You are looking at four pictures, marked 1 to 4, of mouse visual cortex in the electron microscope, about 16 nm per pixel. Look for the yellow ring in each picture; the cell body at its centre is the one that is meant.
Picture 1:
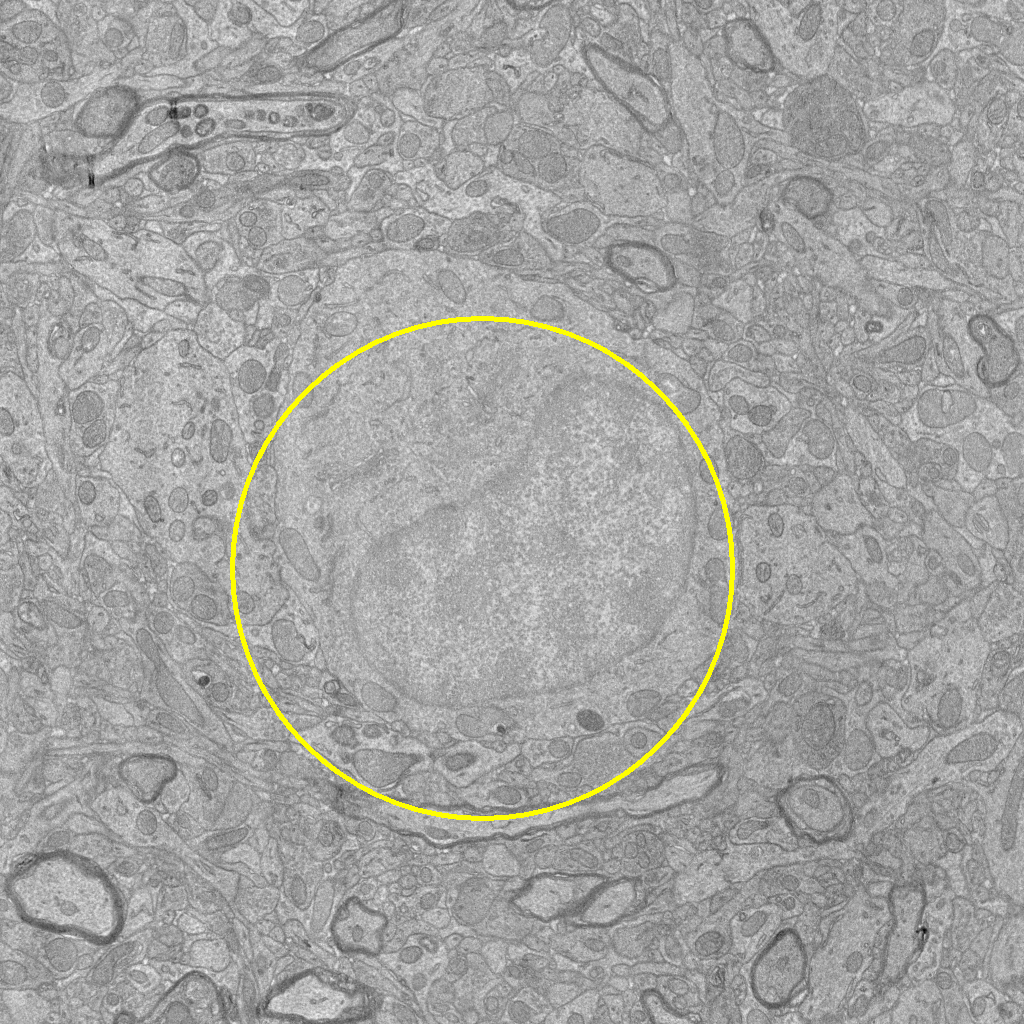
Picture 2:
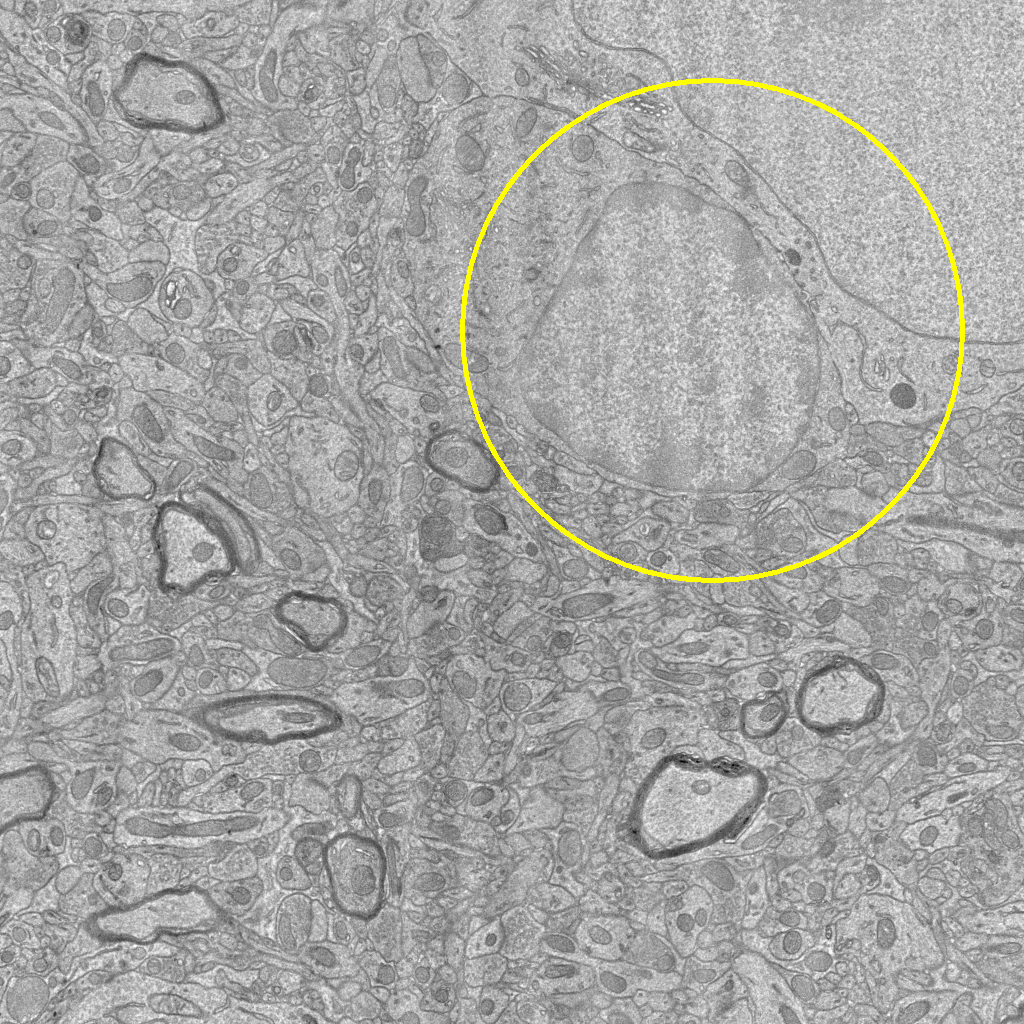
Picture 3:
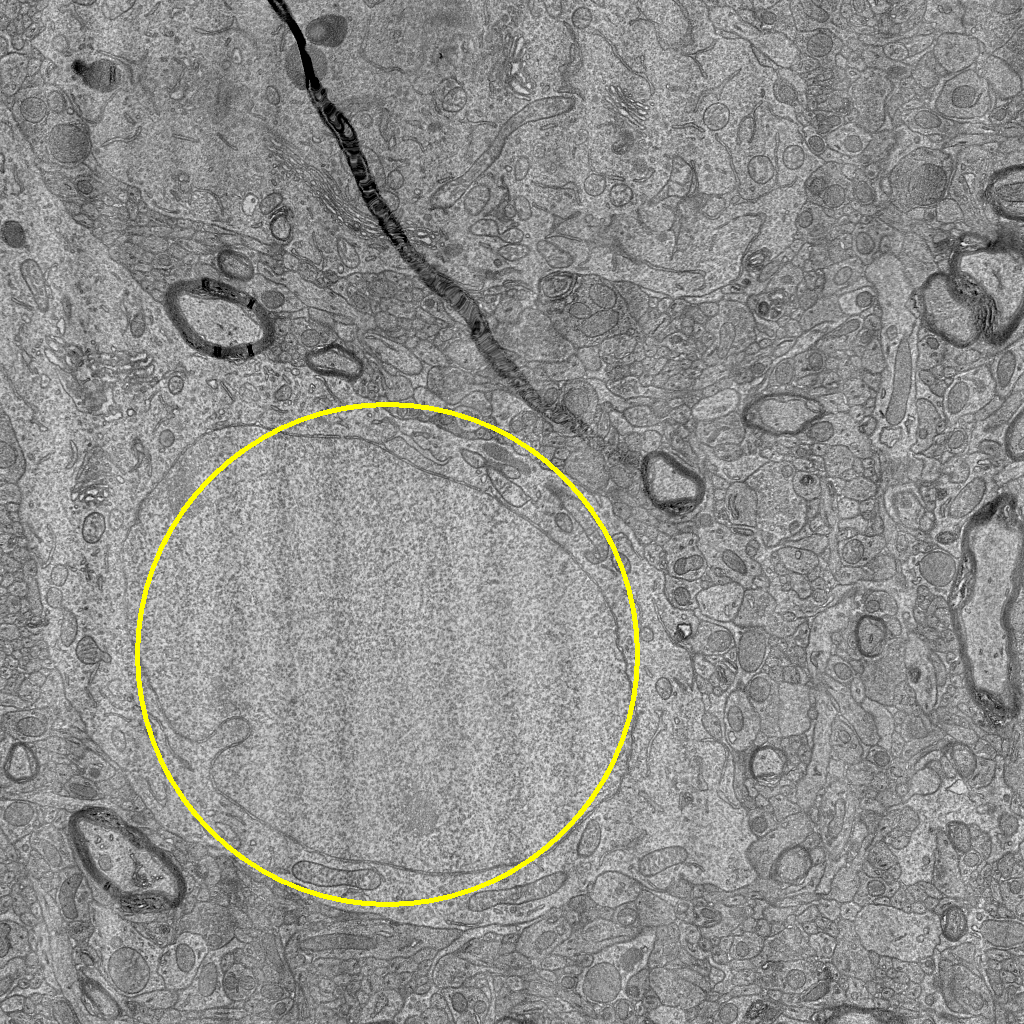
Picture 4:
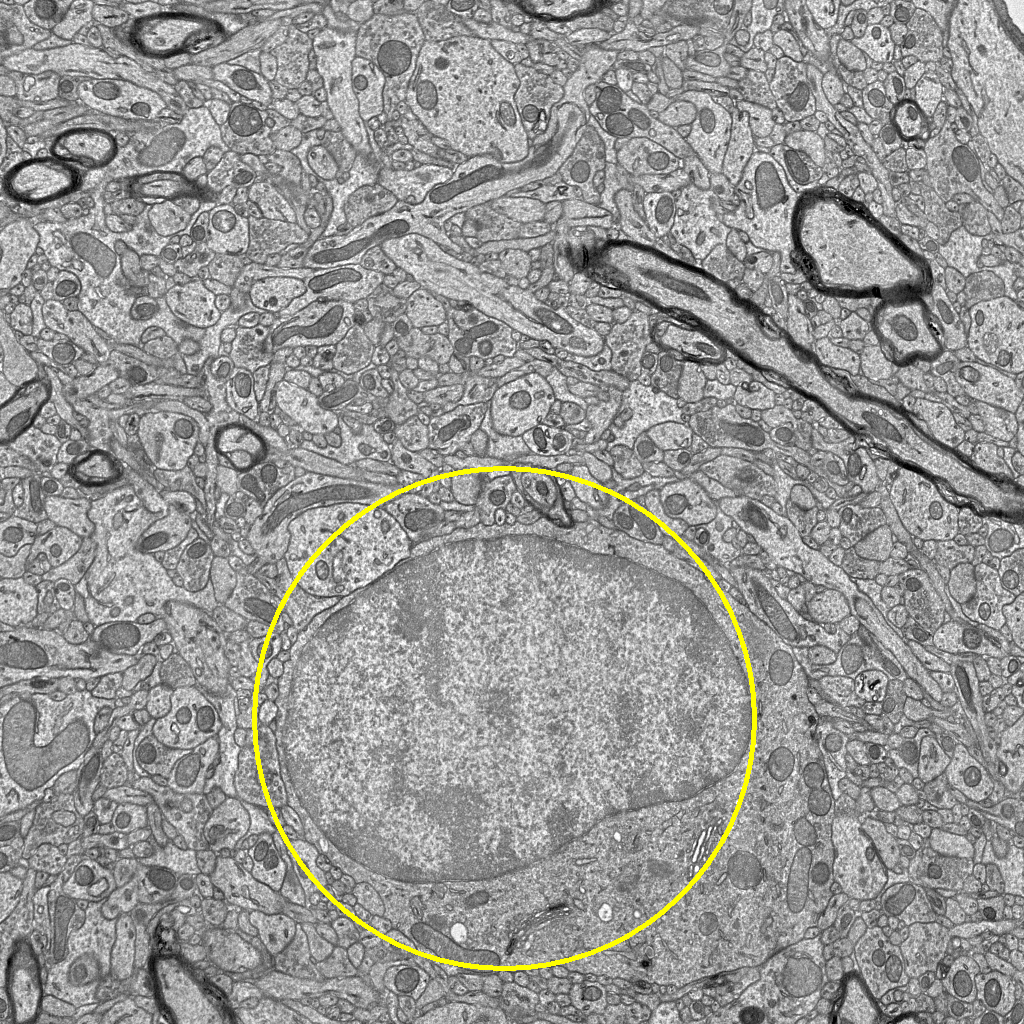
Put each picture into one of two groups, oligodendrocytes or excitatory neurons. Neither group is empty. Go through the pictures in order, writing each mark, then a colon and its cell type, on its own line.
1: oligodendrocyte
2: oligodendrocyte
3: excitatory neuron
4: oligodendrocyte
